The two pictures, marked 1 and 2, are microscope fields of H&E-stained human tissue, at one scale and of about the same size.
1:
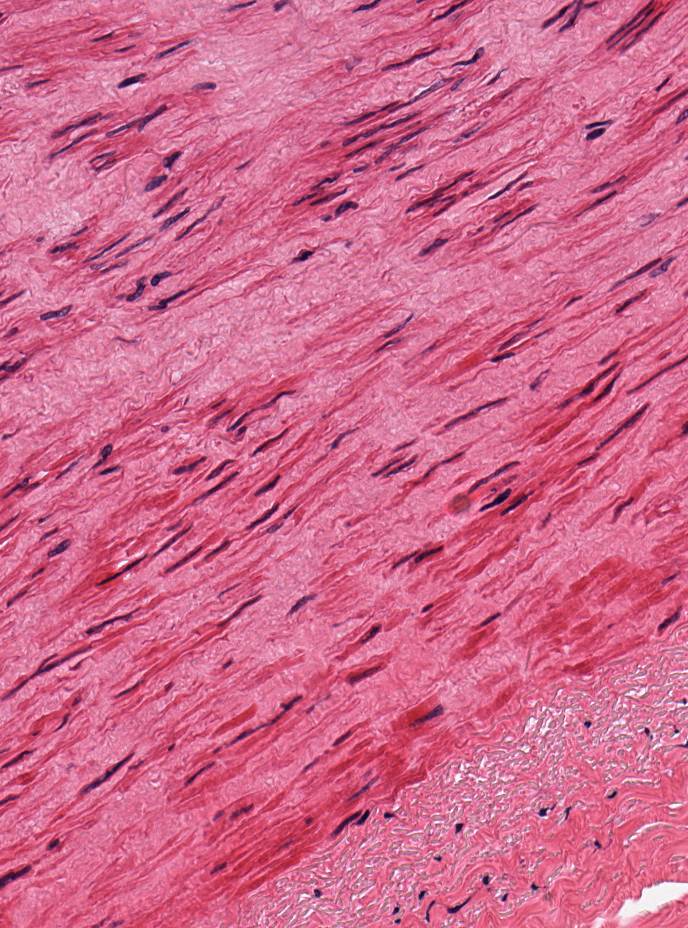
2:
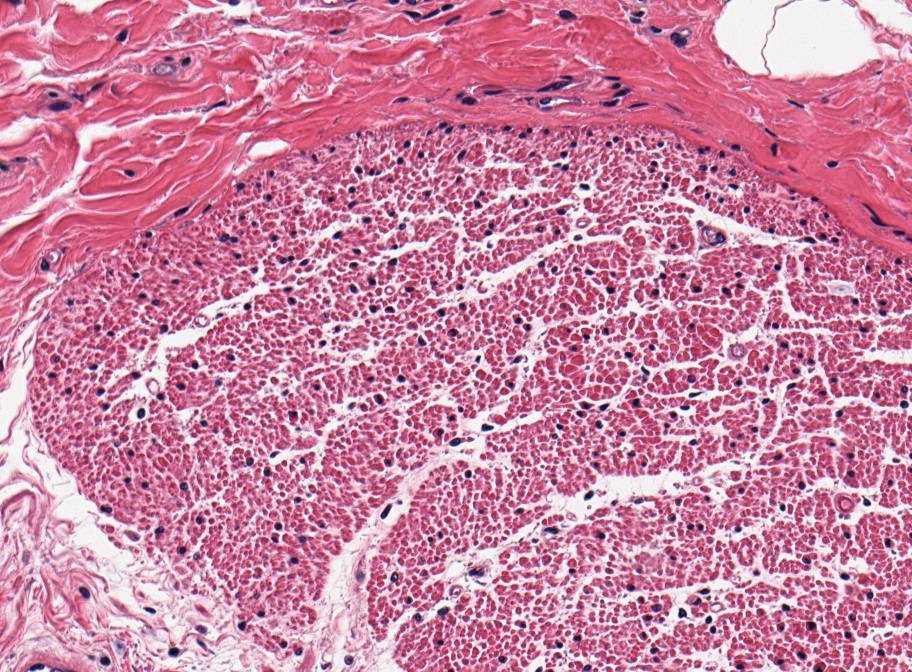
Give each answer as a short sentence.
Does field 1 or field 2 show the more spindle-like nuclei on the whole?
It is field 1 whose nuclei are the more elongated.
